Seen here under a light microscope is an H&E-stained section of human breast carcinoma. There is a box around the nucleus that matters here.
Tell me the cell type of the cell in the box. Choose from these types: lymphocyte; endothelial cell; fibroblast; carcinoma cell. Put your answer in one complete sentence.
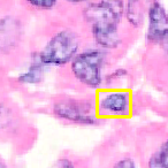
The cell meant here is an endothelial cell.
